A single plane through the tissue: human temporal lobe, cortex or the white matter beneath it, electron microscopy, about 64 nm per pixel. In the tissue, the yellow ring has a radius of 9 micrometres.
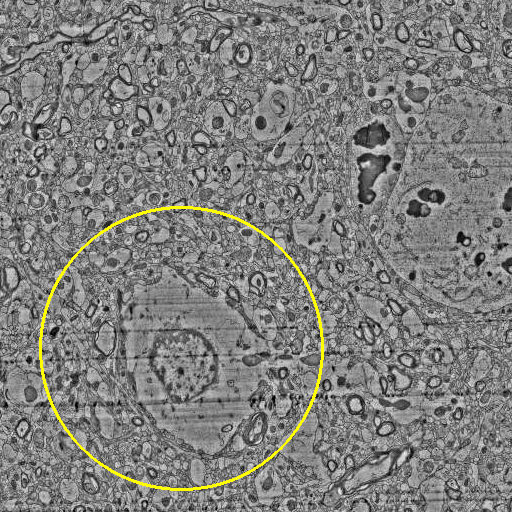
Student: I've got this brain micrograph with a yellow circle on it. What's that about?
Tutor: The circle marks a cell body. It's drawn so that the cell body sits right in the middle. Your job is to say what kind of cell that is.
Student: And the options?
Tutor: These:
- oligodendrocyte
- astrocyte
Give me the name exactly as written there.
astrocyte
